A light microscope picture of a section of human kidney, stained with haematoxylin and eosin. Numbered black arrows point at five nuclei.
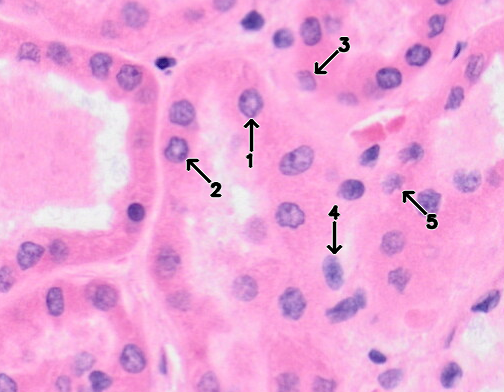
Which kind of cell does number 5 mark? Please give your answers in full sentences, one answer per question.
Cell 5, as marked in the section, is a loop of Henle or distal tubule cell.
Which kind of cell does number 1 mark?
Recognised here as a proximal tubule cell is the cell numbered 1.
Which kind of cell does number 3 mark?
Classified as a proximal tubule cell is the cell with the number 3.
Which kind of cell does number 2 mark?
Among the marked cells, number 2 is a proximal tubule cell.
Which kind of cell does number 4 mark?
Cell number 4 in this section is an endothelial cell.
